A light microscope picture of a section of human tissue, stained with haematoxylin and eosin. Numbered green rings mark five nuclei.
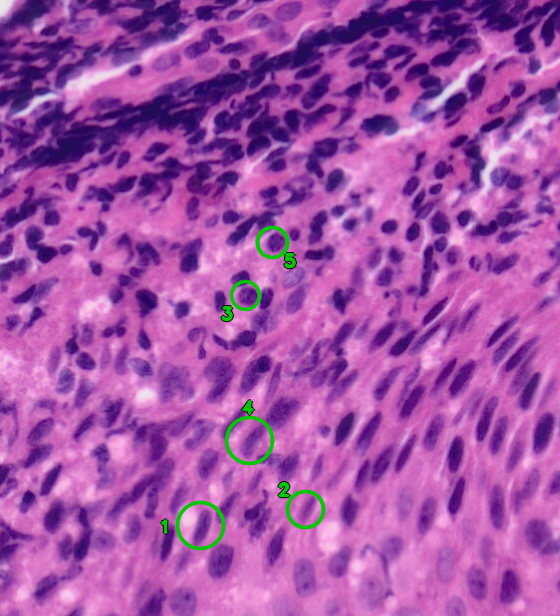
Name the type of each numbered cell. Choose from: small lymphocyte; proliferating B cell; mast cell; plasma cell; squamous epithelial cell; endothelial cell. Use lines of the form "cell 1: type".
cell 1: squamous epithelial cell
cell 2: squamous epithelial cell
cell 3: plasma cell
cell 4: squamous epithelial cell
cell 5: plasma cell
